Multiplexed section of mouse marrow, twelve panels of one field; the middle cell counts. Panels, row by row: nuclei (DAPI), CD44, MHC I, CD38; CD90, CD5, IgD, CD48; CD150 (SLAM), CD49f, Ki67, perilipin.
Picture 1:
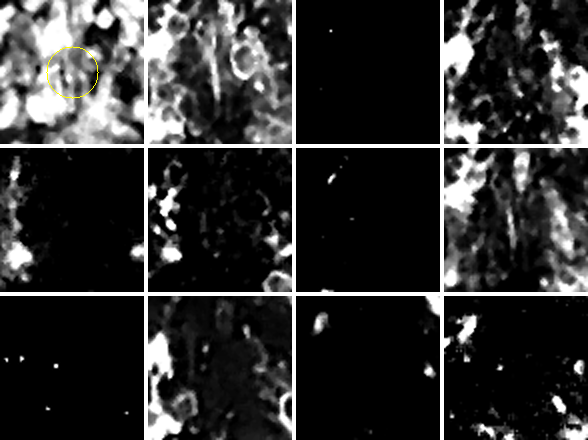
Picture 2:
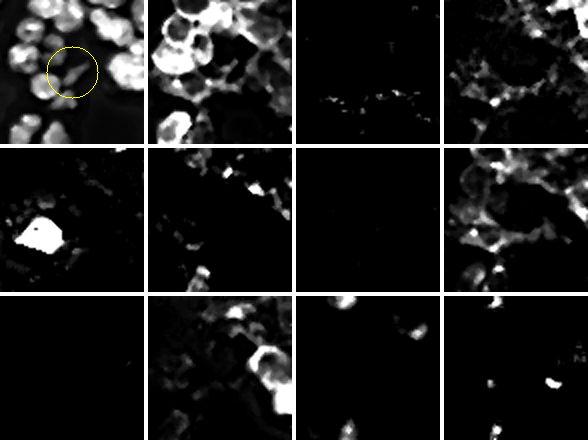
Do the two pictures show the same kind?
Yes, both are neutrophils.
